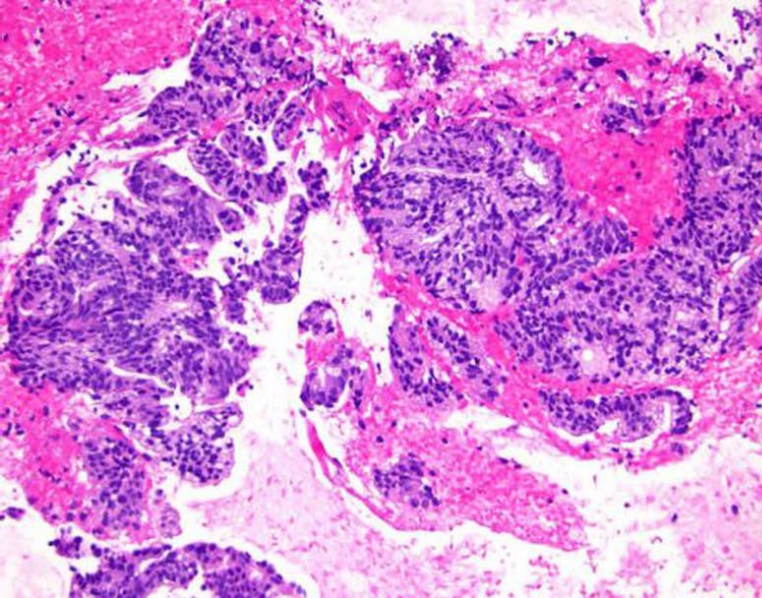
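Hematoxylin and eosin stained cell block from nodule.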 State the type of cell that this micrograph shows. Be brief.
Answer: Malignant tumor cells.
